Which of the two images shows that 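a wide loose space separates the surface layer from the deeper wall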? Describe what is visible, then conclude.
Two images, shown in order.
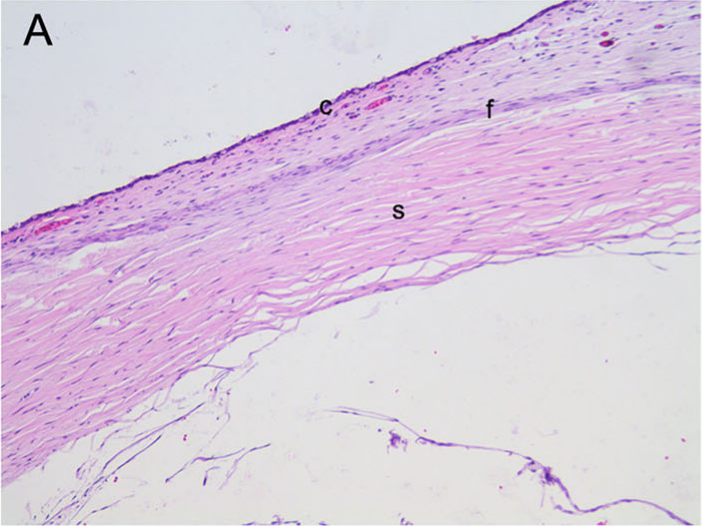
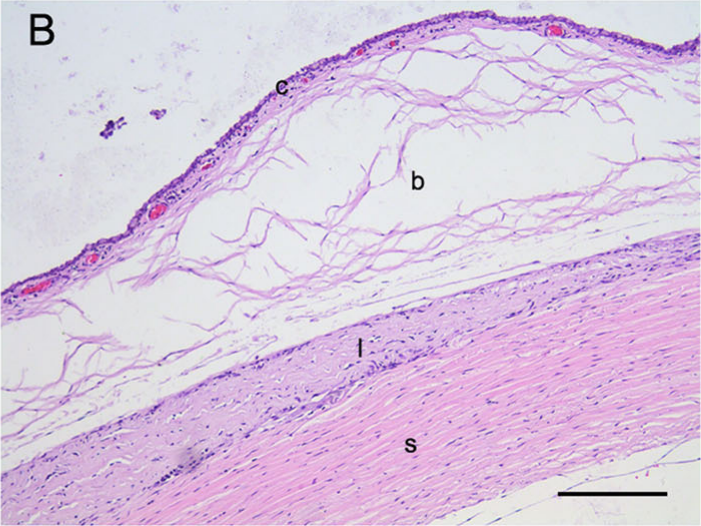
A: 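Second image: a broad clear space crossed by thin fibers lies between the surface layer and the deeper tissue. First image: the surface layer rests directly on dense fibrous tissue with no open space.
The second image.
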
